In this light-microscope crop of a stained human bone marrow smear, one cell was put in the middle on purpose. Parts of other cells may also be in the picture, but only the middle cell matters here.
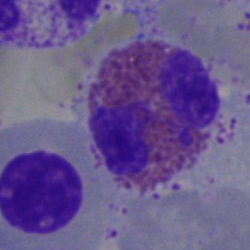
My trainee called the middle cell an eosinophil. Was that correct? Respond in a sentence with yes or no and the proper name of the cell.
Yes, in the centre of this field sits an eosinophil.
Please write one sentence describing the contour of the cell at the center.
The cell membrane follows an uneven contour, either ragged or bearing projections.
